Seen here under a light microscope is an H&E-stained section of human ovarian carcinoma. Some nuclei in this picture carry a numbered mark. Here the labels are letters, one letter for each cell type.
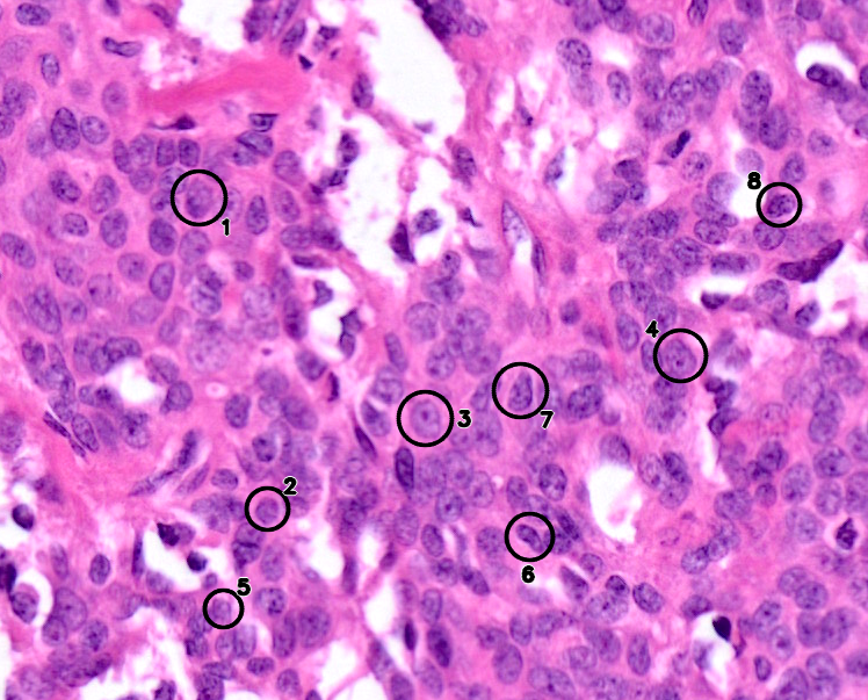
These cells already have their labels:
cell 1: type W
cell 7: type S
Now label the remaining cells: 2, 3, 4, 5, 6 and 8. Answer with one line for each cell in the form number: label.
2: type S
3: type W
4: type W
5: type S
6: type S
8: type W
